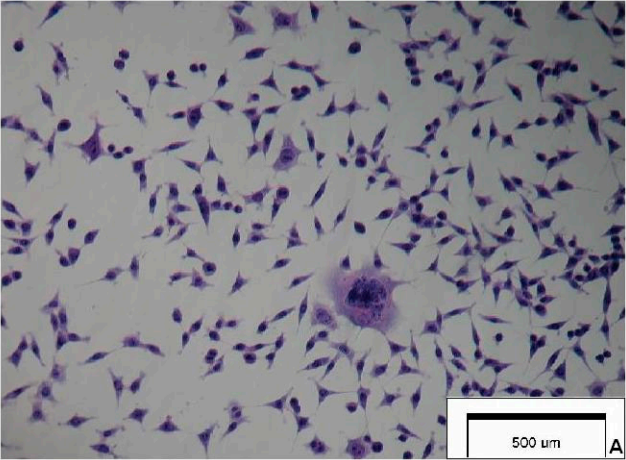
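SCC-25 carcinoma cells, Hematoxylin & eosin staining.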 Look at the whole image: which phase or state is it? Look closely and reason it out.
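Tadpole, caudate. Cell shapes vary widely across the field.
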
